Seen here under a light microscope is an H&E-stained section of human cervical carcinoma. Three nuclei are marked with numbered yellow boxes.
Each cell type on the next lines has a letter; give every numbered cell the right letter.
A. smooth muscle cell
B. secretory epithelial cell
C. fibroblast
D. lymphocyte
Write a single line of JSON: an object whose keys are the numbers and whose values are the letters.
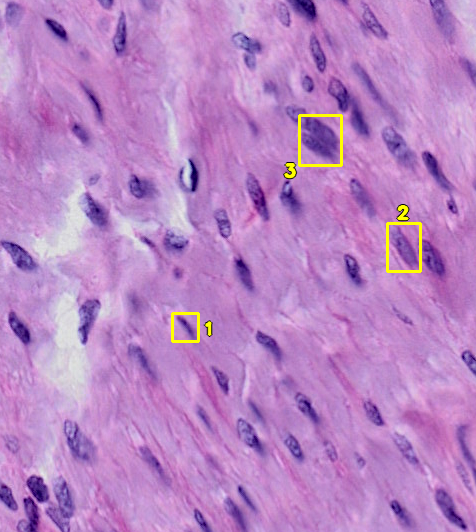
{"1": "C", "2": "A", "3": "C"}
